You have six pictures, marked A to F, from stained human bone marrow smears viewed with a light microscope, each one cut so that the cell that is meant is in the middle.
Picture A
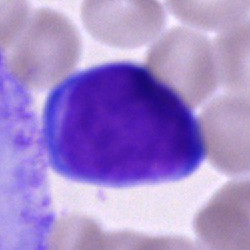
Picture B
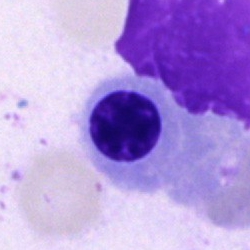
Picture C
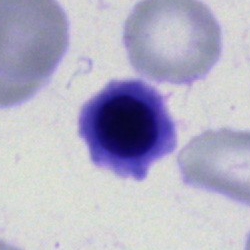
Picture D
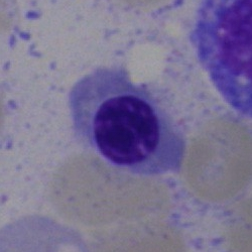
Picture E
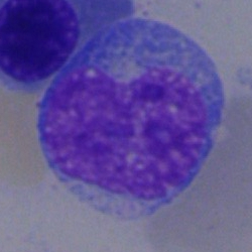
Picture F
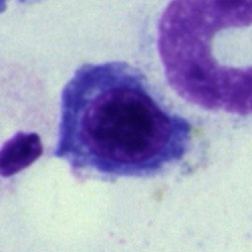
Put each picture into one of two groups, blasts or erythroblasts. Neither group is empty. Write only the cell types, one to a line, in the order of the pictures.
blast
erythroblast
erythroblast
erythroblast
blast
erythroblast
